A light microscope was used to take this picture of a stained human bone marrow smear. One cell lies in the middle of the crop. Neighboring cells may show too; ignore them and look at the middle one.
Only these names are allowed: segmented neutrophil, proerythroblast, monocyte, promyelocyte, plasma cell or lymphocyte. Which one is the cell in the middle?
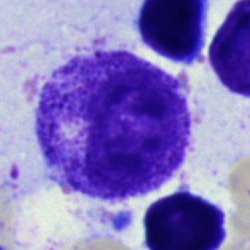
promyelocyte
